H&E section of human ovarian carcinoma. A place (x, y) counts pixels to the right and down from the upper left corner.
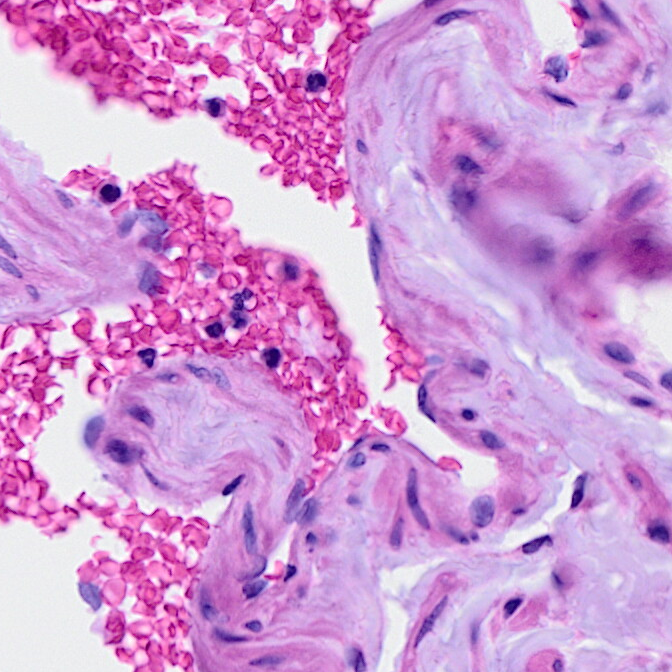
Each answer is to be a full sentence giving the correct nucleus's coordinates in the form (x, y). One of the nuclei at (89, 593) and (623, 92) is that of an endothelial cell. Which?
The nucleus at (89, 593) is the member of the pair belonging to an endothelial cell.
